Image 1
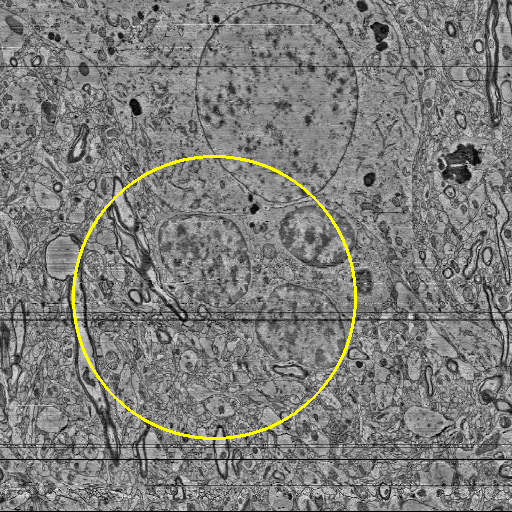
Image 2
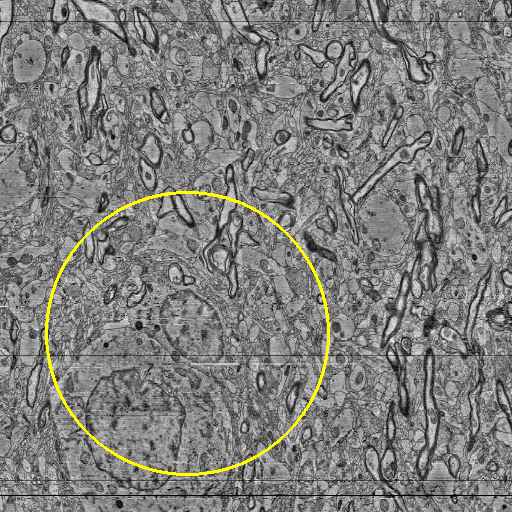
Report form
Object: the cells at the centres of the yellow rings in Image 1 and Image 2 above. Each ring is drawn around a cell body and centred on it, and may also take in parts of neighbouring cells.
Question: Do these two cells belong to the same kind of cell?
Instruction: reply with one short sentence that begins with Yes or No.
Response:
Yes, both belong to the same kind of cell.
